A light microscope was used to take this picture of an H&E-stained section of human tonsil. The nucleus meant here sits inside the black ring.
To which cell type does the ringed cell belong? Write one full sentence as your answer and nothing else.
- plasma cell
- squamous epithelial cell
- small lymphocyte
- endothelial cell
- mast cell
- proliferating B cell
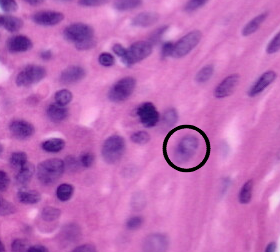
In this tissue section, the ringed cell is to be classed as a squamous epithelial cell.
